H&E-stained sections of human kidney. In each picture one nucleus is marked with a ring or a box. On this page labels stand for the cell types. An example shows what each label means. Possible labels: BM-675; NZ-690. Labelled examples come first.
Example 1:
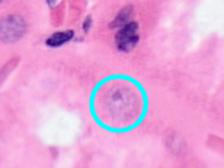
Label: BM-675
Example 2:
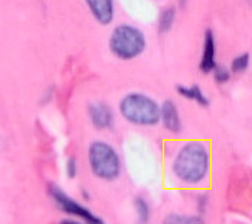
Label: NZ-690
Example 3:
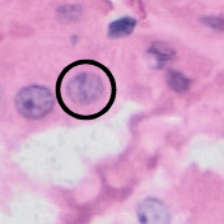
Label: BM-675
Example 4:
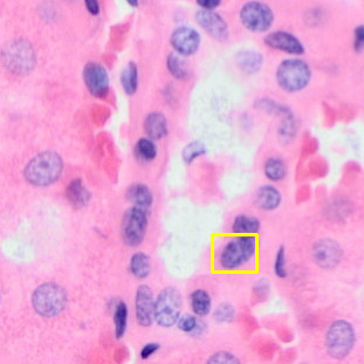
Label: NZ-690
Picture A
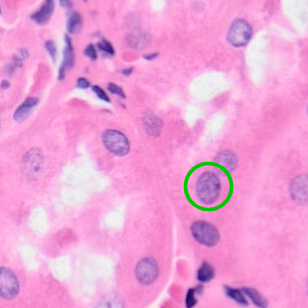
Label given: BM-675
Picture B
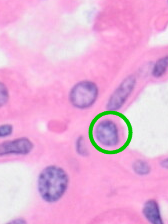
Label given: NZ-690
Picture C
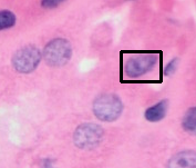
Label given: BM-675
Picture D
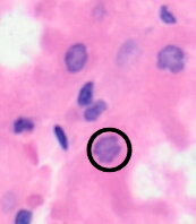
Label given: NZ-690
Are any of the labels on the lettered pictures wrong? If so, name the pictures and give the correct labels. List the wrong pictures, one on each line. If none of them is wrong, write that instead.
D: change NZ-690 to BM-675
